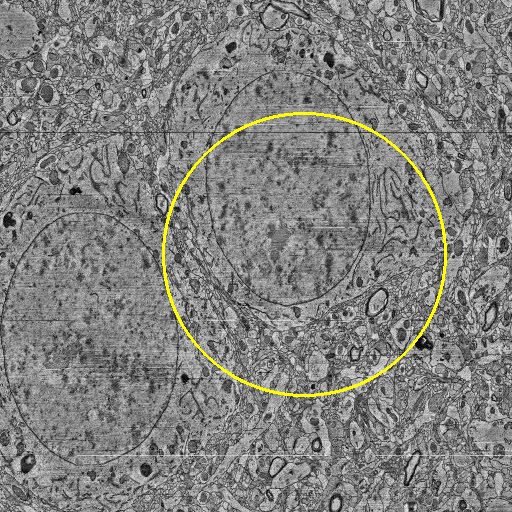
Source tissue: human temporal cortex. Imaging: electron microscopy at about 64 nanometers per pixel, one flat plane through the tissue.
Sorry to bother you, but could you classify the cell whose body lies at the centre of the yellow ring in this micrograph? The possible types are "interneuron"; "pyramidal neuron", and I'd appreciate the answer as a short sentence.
The ringed cell body is that of a pyramidal neuron.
